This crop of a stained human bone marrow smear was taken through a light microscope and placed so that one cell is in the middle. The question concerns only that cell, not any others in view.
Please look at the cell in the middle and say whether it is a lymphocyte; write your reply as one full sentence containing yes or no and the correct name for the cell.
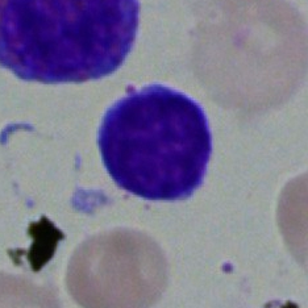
Yes, the cell lying in the centre of the crop is identified as a lymphocyte.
